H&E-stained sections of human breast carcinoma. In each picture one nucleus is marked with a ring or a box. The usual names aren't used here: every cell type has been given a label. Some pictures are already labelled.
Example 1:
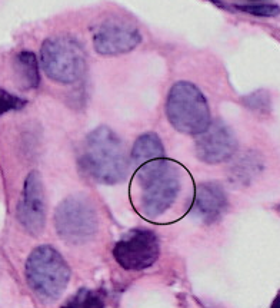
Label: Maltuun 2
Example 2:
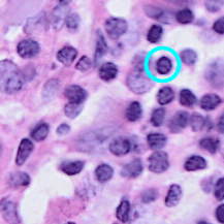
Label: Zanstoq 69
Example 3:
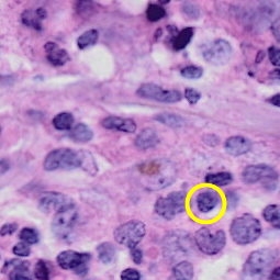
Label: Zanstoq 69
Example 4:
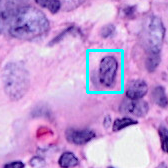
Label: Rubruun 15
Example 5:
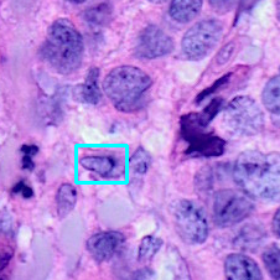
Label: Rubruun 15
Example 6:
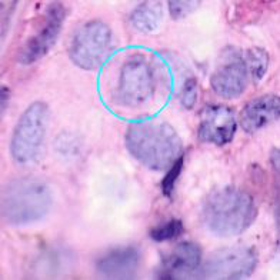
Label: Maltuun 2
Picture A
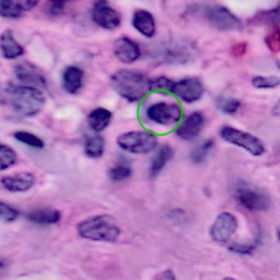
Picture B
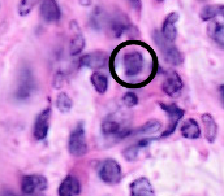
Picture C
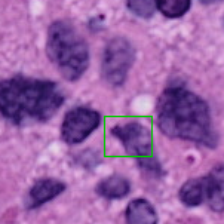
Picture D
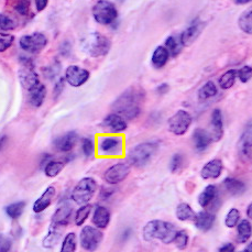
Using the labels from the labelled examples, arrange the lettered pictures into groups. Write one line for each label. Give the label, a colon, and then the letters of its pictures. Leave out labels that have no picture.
Maltuun 2: C
Zanstoq 69: A, B, D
